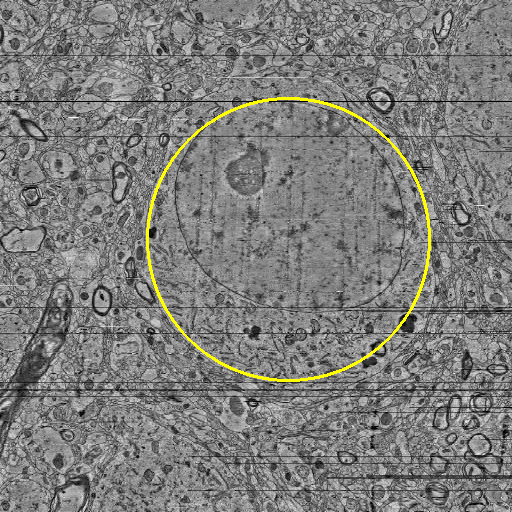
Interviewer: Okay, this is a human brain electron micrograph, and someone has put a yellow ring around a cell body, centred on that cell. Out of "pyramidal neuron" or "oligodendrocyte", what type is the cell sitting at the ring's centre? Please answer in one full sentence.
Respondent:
The cell at the centre of the yellow ring in this picture is a pyramidal neuron.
